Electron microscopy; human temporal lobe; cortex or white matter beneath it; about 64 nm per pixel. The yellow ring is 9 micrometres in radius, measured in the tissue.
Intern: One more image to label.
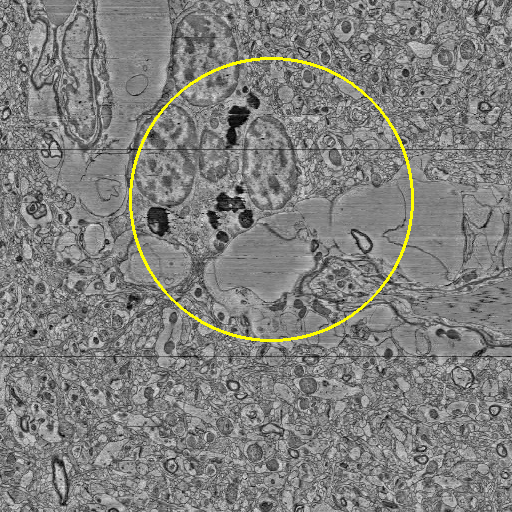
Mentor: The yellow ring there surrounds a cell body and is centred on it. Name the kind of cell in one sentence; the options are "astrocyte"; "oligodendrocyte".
The ring marks the cell body of an oligodendrocyte.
